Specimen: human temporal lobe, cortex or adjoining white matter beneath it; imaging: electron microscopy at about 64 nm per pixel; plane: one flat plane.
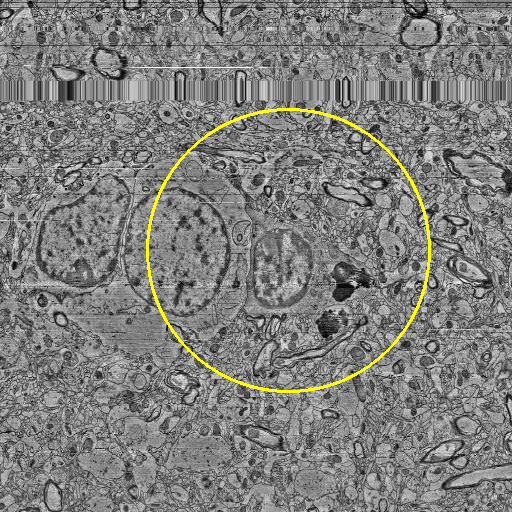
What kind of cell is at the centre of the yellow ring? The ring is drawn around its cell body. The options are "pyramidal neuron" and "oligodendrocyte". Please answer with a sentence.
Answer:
The yellow ring marks the cell body of an oligodendrocyte.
